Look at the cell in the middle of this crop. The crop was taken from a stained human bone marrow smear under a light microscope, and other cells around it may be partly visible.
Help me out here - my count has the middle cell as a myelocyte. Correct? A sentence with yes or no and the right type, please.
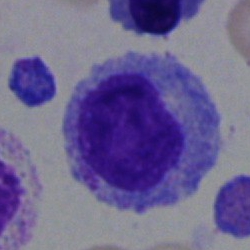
Yes, it is a myelocyte that lies in the middle.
